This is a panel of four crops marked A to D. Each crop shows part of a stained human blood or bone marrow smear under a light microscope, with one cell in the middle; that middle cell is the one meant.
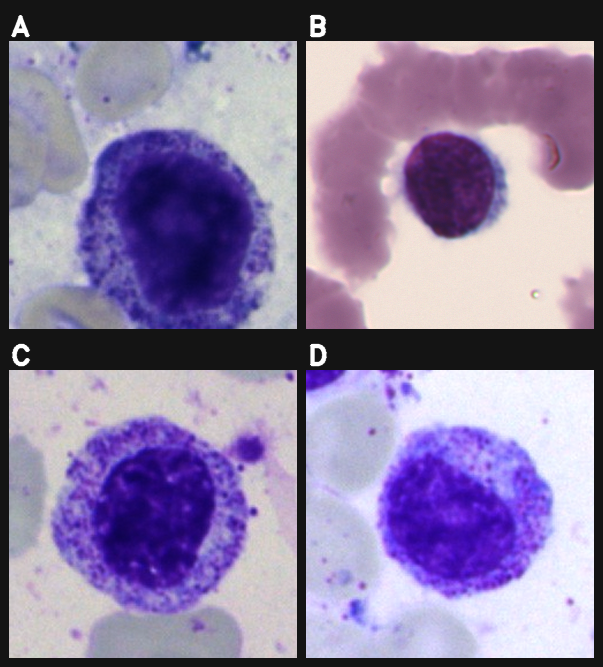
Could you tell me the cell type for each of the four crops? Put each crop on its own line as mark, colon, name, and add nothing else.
A: myelocyte
B: hairy cell
C: myelocyte
D: myelocyte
